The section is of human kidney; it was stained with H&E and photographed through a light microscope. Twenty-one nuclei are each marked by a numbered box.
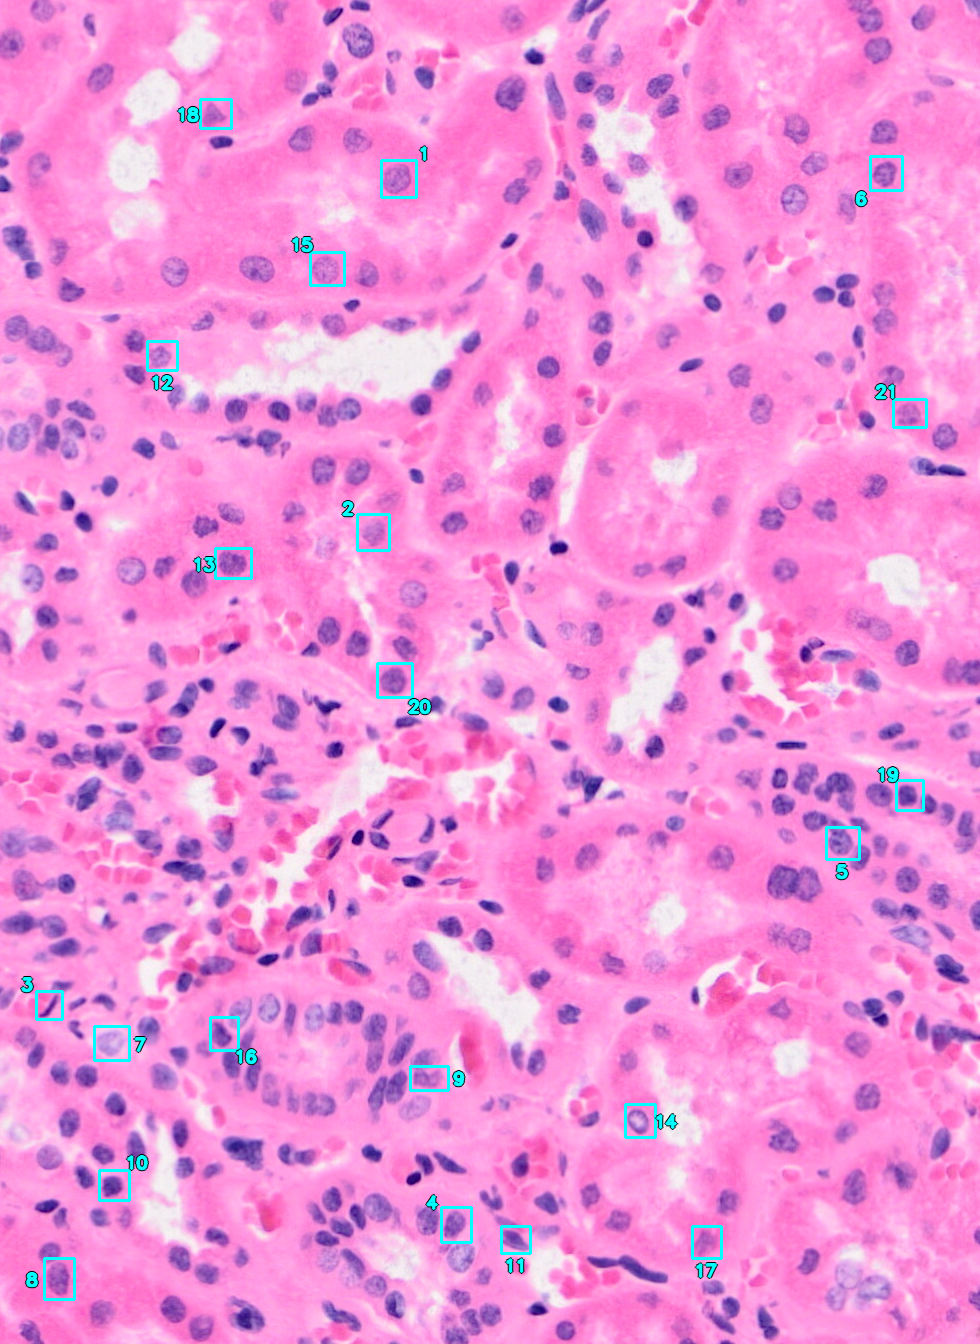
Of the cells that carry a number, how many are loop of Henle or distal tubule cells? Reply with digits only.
3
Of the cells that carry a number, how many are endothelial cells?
2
